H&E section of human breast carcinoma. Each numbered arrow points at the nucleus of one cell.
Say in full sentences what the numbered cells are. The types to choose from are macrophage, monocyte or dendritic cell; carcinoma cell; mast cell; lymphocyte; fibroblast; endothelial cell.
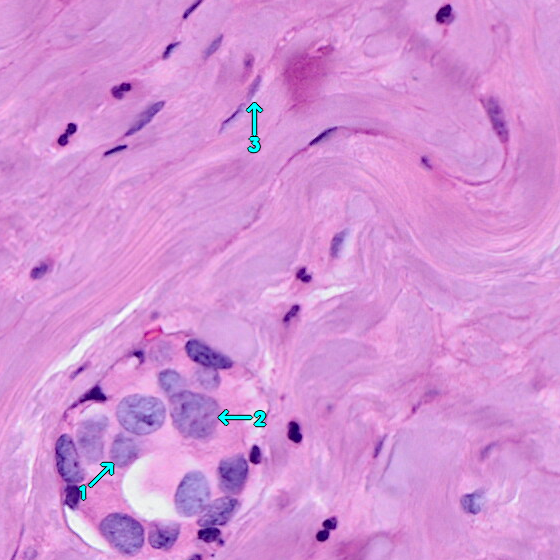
Cells 1 and 2 are carcinoma cells. Cell 3 is a fibroblast.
